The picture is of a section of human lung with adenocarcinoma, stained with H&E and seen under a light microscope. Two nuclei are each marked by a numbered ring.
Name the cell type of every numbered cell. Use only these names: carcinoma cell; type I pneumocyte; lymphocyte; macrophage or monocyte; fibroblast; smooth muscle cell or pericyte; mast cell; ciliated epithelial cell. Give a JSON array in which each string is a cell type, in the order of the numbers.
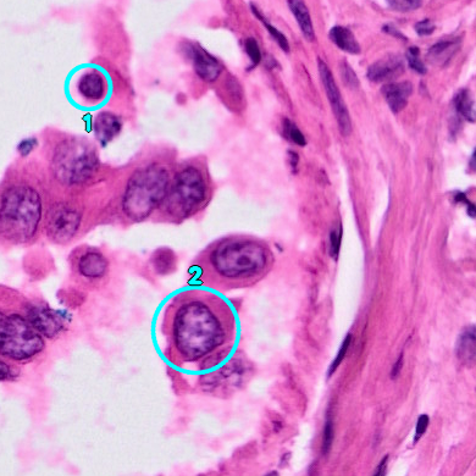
["lymphocyte", "carcinoma cell"]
